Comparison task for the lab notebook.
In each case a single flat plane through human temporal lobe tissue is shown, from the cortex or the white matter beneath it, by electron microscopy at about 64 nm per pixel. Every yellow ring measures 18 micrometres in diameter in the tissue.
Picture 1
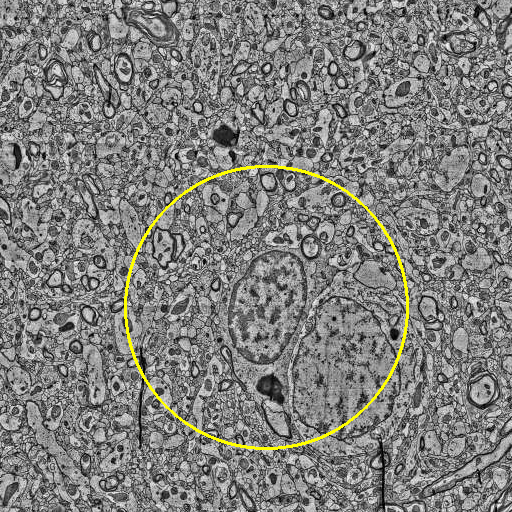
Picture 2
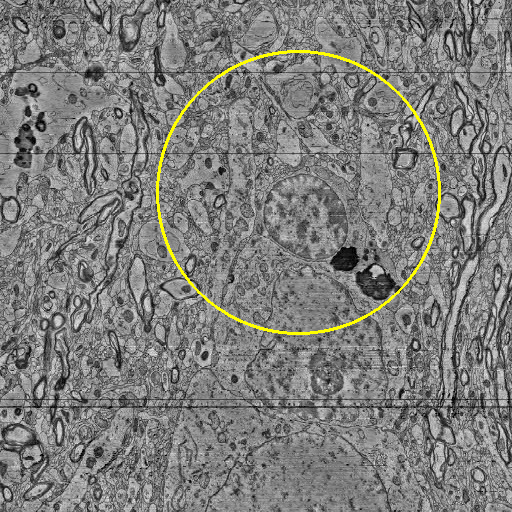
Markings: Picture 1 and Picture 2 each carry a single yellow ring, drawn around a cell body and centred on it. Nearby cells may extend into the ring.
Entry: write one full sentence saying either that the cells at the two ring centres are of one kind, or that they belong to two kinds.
The cells sitting at the ring centres in Picture 1 and Picture 2 are of one kind.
